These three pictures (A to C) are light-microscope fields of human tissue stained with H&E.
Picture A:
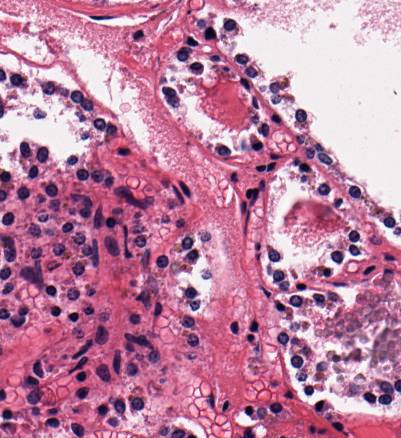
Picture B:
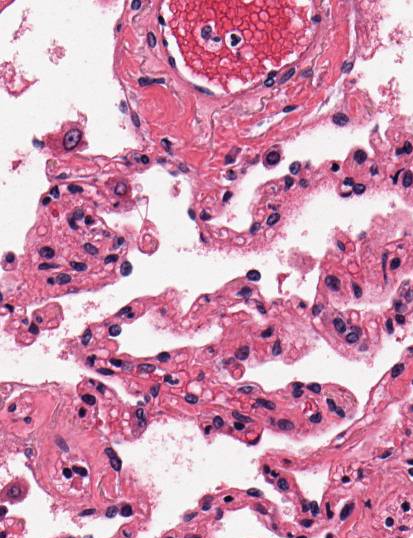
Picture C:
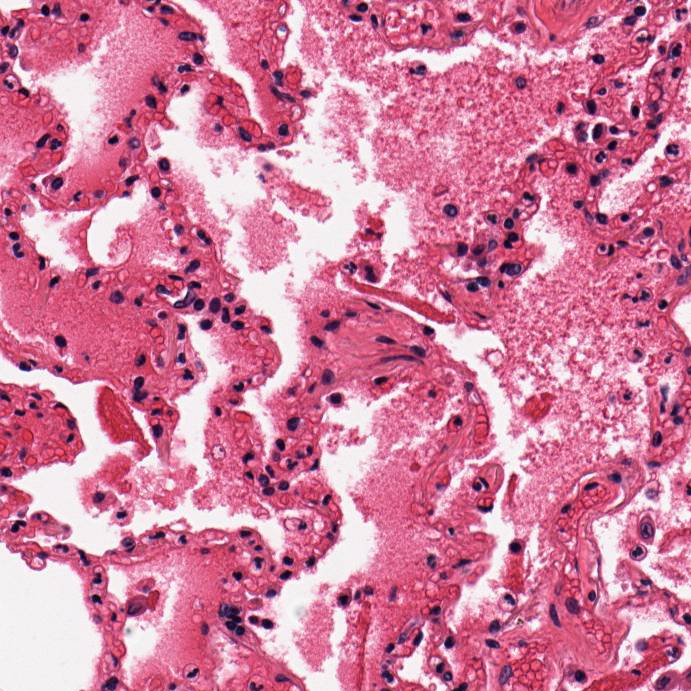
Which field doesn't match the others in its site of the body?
A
